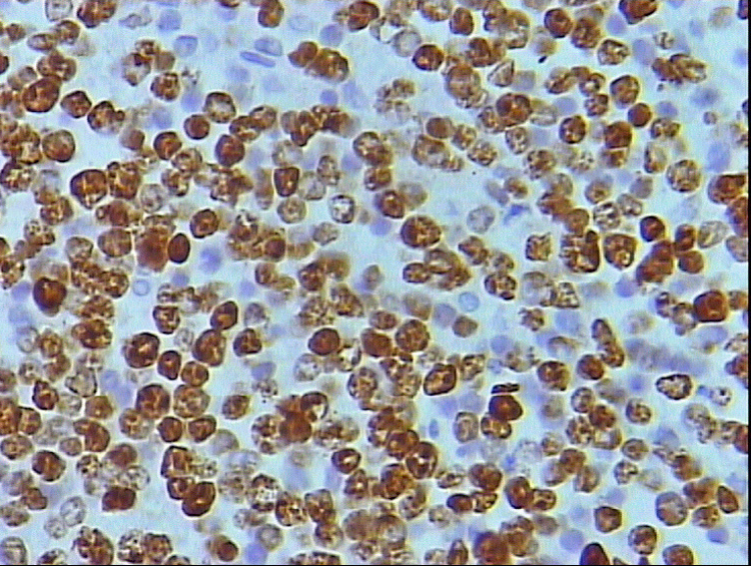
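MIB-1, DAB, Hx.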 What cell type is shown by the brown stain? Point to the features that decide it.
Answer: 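A dense, diffuse sheet of round, closely packed cells with little cytoplasm. Most nuclei are stained brown, some intensely and evenly, others with a coarse granular pattern. A minority of nuclei are stained only blue.
Neoplastic lymphocytes.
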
